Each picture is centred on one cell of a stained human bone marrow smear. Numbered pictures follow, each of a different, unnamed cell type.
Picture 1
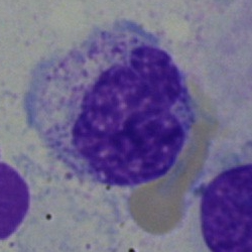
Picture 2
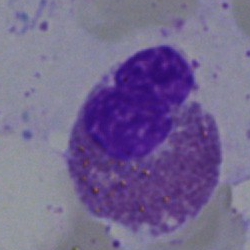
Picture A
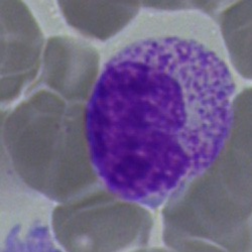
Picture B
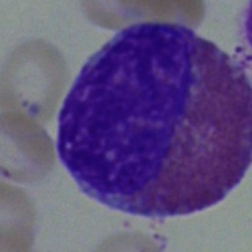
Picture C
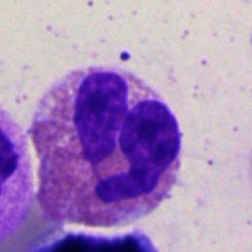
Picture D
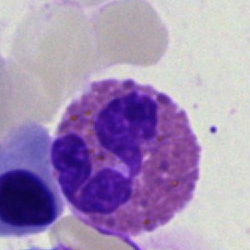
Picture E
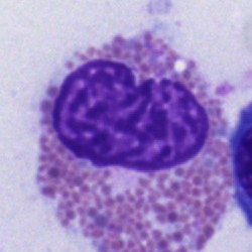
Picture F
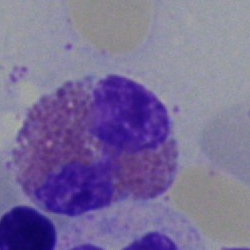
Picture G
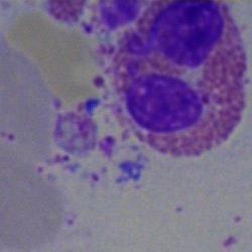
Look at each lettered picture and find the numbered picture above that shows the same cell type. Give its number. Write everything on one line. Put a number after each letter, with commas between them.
A 1, B 2, C 2, D 2, E 2, F 2, G 2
